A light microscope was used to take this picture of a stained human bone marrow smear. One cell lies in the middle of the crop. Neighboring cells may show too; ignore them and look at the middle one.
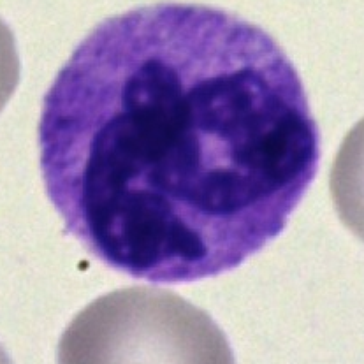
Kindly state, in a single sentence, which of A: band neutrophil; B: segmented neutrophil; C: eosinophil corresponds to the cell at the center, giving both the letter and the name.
In the centre of the crop there is a segmented neutrophil, making option B correct.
